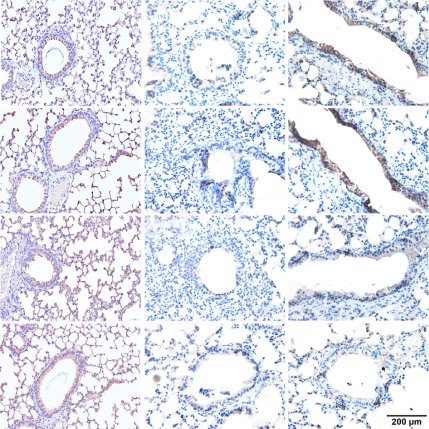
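Sections of lung show airway cross-sections lined by epithelial cells within a network of small alveolar spaces whose thin walls carry blue nuclei. The brown stain sits mainly along the airway lining and is faint in some frames, where the tissue around the airways looks denser with more nuclei.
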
